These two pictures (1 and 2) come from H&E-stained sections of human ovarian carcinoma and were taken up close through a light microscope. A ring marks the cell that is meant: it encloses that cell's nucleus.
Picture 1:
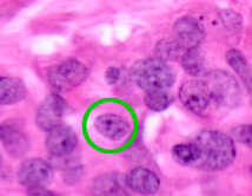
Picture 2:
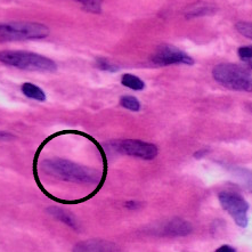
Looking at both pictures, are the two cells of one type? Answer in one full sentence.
No, picture 1 shows a “macrophage or monocyte” and picture 2 shows a fibroblast.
